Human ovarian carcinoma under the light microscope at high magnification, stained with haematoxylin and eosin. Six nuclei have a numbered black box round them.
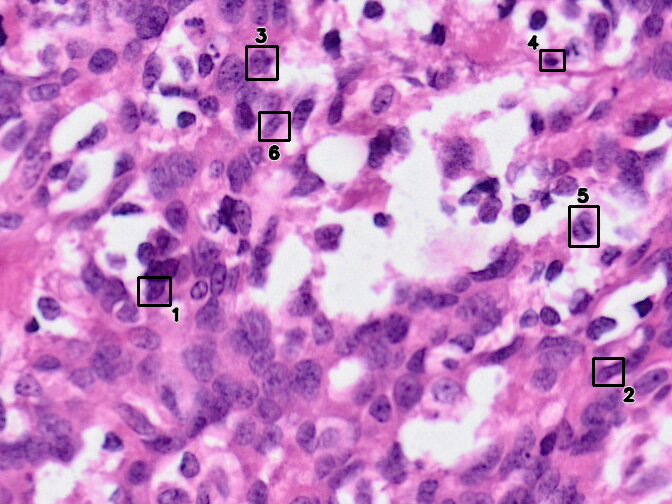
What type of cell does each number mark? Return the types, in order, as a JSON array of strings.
["carcinoma cell", "carcinoma cell", "carcinoma cell", "macrophage or monocyte", "macrophage or monocyte", "carcinoma cell"]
